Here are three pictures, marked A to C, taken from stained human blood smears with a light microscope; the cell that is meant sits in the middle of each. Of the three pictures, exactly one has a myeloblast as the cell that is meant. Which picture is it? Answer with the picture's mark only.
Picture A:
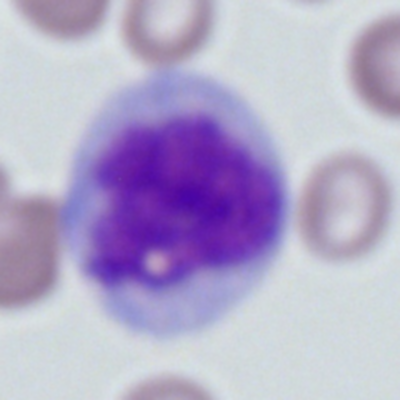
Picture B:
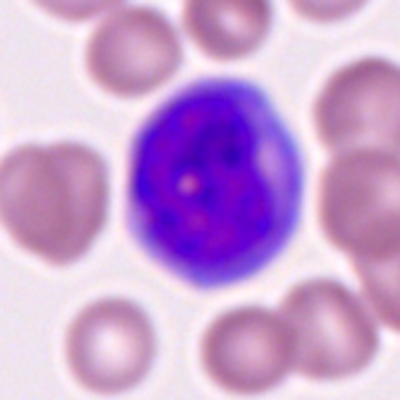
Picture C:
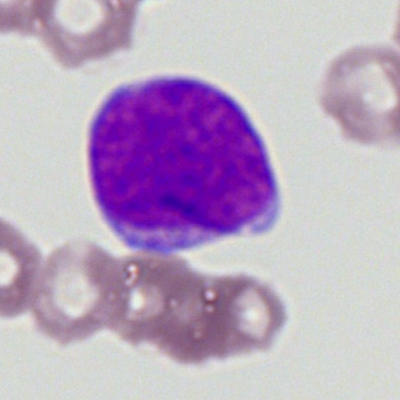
C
